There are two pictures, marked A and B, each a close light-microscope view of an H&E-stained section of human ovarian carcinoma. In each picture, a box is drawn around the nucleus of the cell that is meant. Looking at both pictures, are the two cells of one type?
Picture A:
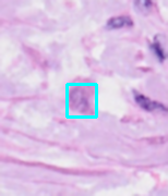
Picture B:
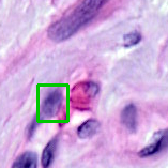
no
